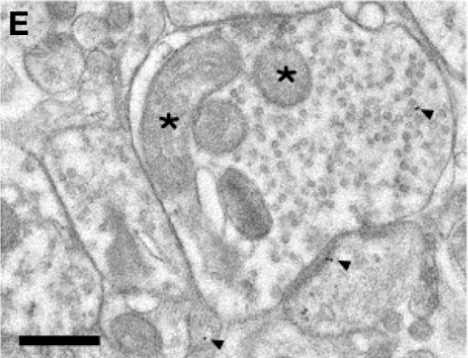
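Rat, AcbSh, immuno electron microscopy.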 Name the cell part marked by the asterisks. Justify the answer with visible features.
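The marked bodies are membrane-bound organelles with a dense matrix. Internal folded membranes are faintly visible in the curved one. That points to this answer: mitochondria.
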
